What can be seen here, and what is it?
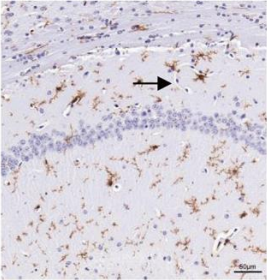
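Brain tissue with scattered, brown-stained microglial cells set on either side of a curved band of densely packed, round blue neuronal nuclei. The microglia are spaced apart from one another, each with a small brown cell body and a few thin, finely branching processes that extend into the surrounding pale tissue. Their processes rarely touch those of neighbouring cells. The background neuropil is pale, with occasional small nuclei and thin vessels crossing the field.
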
